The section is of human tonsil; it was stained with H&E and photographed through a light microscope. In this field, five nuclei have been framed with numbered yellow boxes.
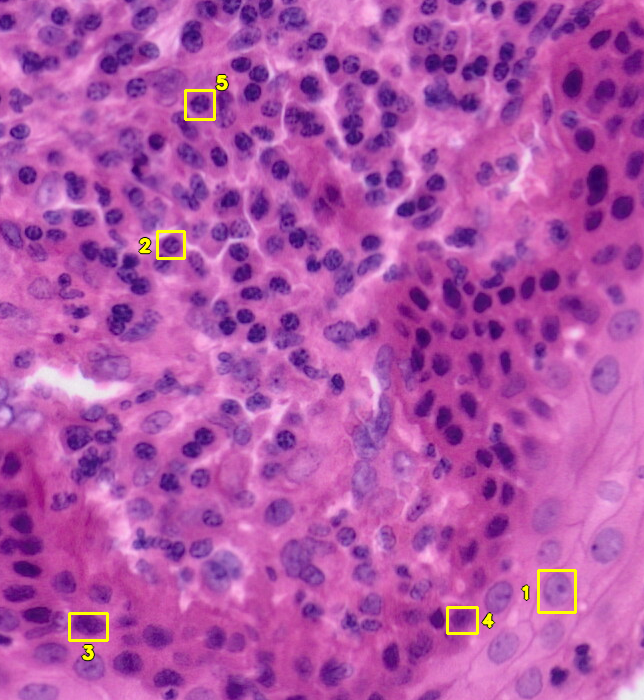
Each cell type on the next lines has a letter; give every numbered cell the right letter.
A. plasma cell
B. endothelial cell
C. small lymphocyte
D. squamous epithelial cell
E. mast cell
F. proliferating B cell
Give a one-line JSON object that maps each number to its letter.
{"1": "D", "2": "A", "3": "D", "4": "D", "5": "A"}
